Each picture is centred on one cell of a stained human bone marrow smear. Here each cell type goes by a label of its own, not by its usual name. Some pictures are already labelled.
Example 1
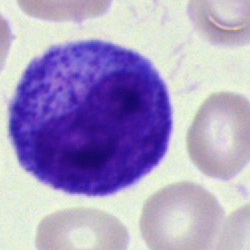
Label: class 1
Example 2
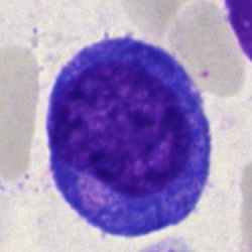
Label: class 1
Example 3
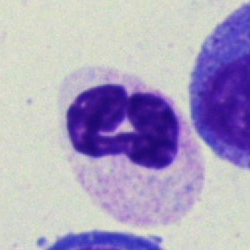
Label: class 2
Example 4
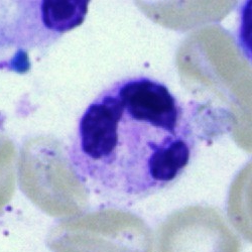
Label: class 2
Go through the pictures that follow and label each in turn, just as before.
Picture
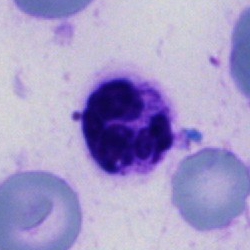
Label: class 2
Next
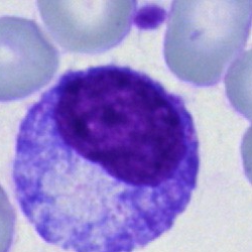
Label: class 1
